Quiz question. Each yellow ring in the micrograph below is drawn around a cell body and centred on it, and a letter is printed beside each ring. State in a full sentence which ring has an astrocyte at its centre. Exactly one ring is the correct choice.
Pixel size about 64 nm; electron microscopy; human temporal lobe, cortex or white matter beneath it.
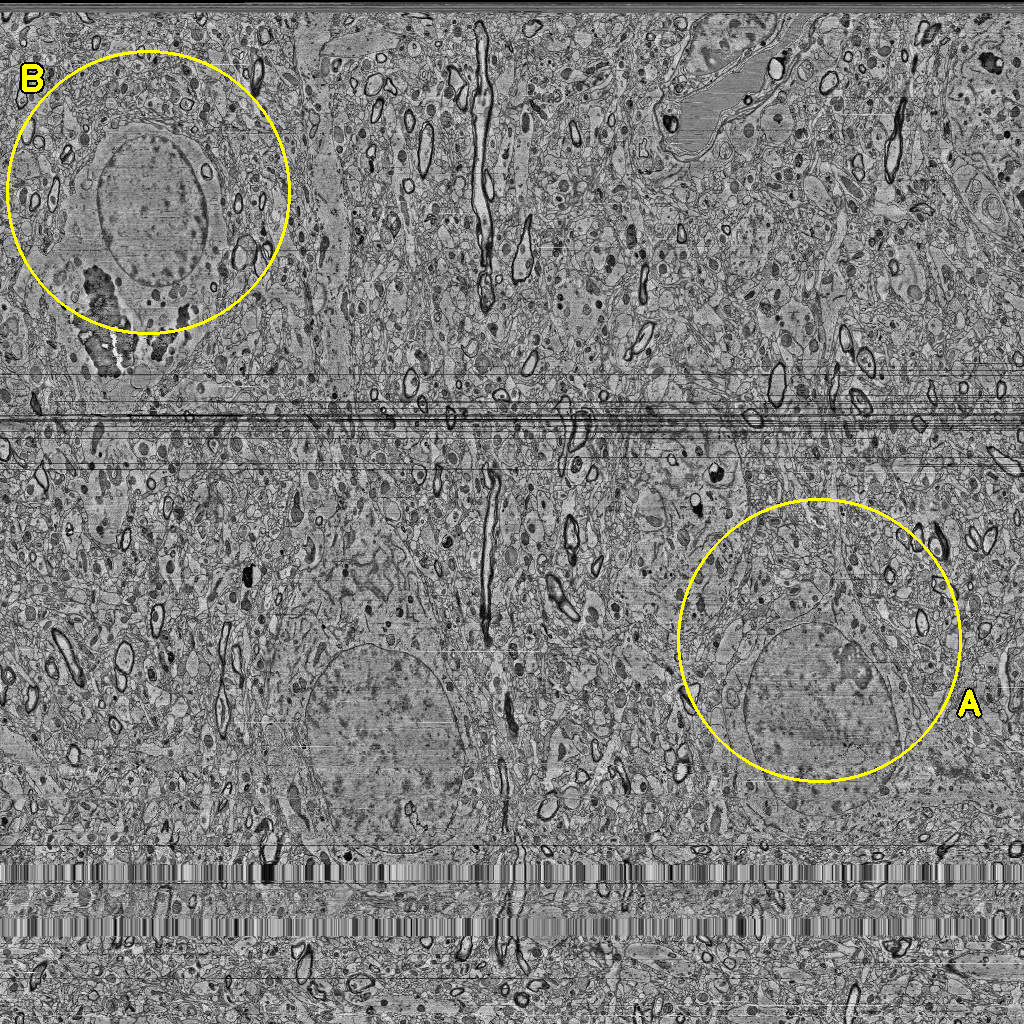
The correct ring is ring B.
